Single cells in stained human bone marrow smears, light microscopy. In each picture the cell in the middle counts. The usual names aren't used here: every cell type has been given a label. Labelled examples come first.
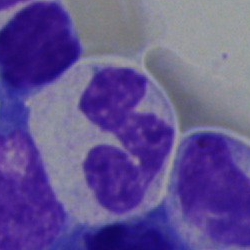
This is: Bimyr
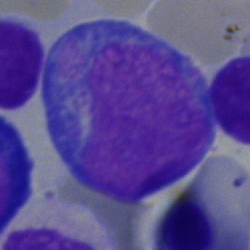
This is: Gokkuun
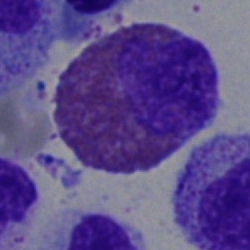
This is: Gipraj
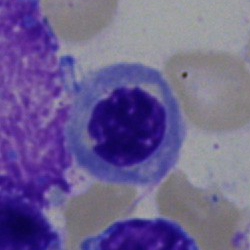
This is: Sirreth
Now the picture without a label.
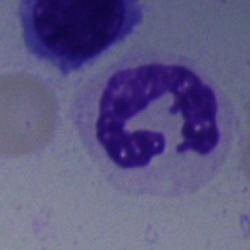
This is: Bimyr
